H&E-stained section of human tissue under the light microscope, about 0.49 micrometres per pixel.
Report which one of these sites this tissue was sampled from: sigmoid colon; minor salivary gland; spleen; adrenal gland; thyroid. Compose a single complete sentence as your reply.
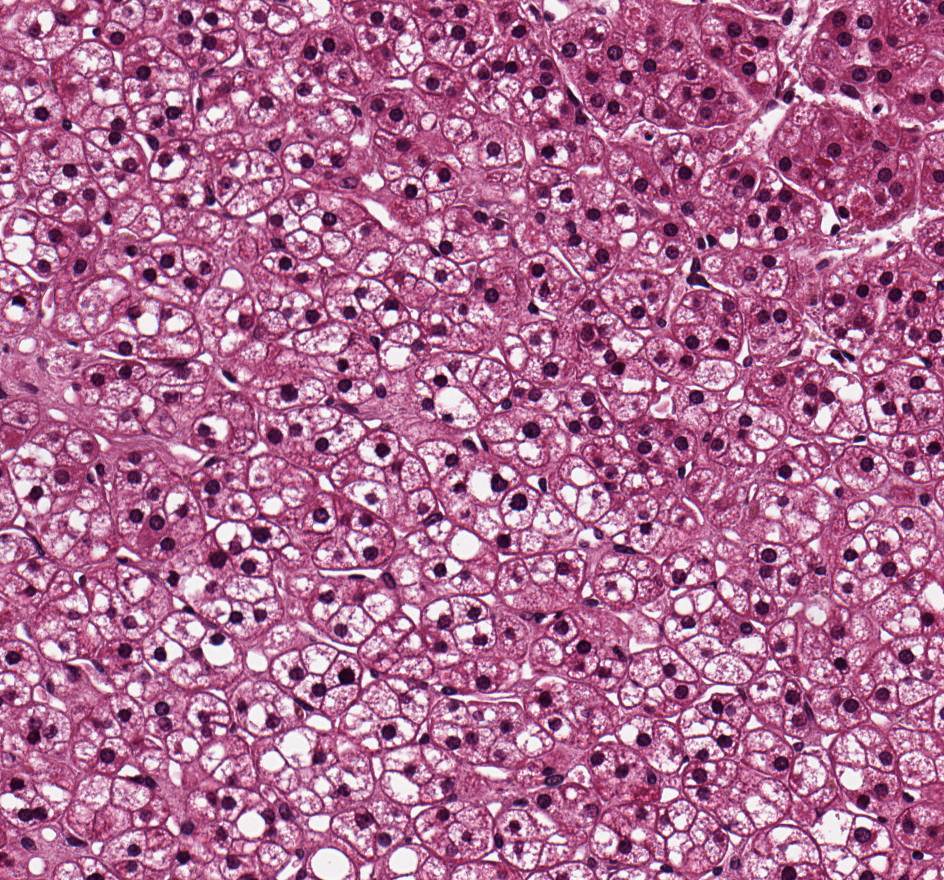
A specimen of the adrenal gland is what this section contains.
